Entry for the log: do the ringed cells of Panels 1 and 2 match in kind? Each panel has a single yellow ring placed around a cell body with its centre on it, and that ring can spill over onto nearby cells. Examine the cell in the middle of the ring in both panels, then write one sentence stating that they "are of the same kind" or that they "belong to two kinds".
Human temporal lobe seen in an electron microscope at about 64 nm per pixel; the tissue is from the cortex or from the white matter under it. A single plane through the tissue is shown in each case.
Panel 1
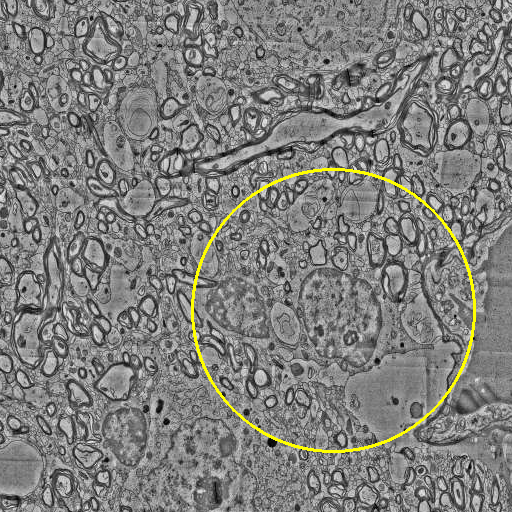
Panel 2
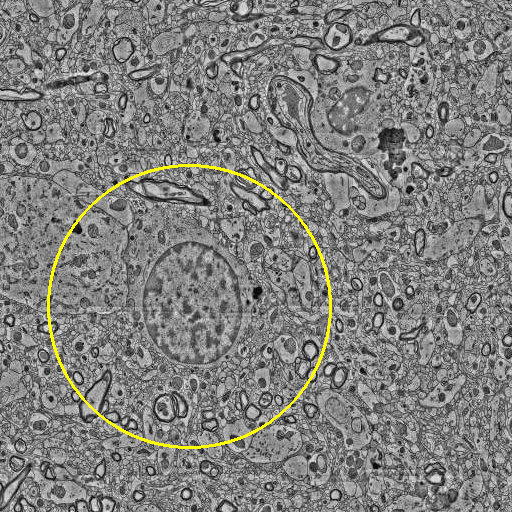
The centre cell of Panel 1's ring and that of Panel 2's ring are of the same kind.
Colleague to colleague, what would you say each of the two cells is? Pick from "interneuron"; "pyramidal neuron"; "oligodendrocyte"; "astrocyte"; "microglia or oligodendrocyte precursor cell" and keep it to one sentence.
In each of the two pictures, the ringed cell is an oligodendrocyte.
